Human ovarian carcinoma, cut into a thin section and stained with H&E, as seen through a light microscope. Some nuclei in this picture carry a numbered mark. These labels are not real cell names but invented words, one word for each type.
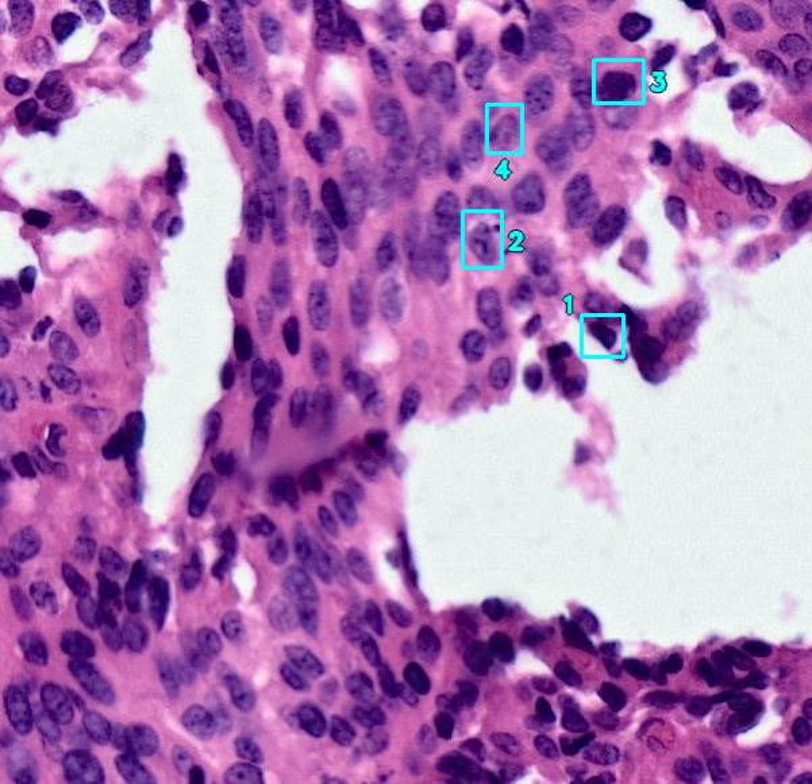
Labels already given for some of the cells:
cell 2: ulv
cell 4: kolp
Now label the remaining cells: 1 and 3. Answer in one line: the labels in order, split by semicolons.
kolp; kolp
